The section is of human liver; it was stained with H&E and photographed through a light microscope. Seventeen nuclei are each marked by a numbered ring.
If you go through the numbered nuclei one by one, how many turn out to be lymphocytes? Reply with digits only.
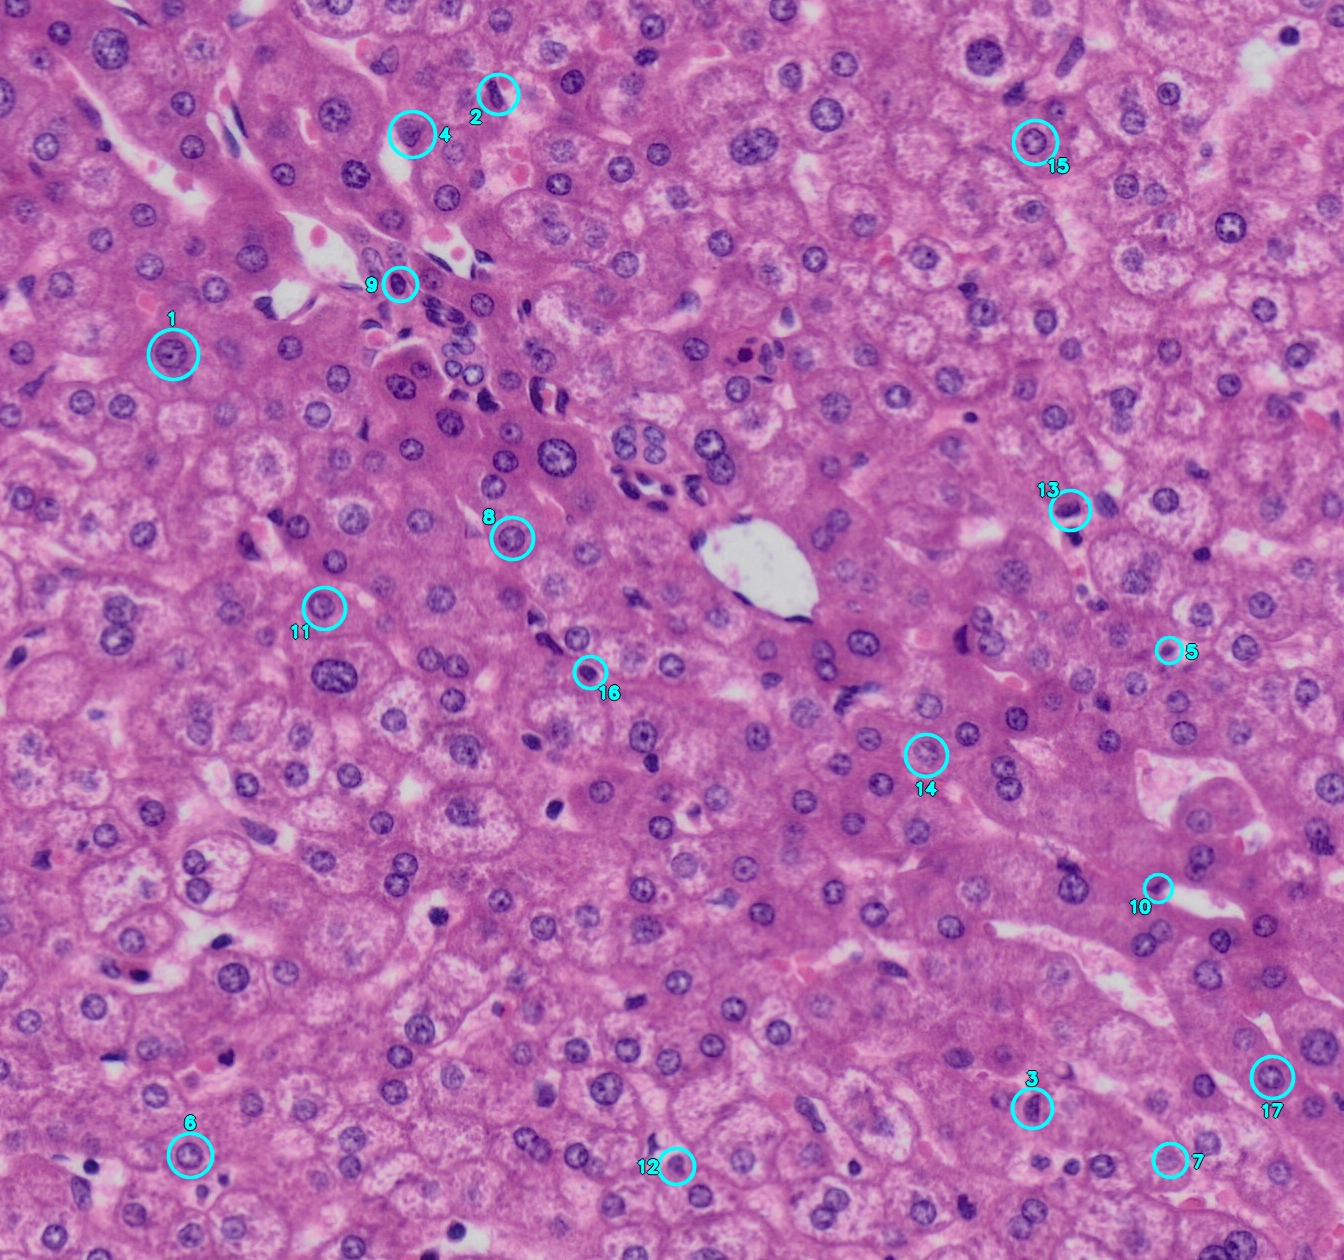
2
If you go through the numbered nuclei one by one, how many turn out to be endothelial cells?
2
